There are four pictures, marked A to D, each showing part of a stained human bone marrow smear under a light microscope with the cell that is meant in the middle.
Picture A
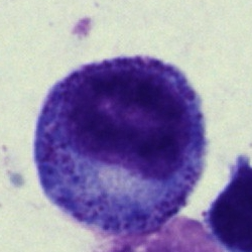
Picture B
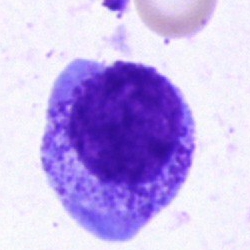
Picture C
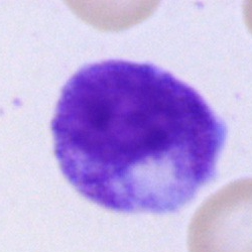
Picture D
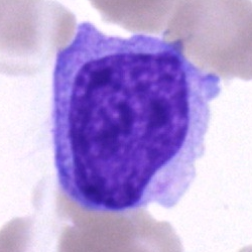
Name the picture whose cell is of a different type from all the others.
D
